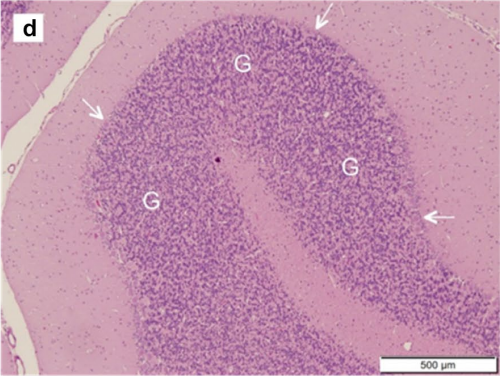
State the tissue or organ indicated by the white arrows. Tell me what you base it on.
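The arrows point to the outer border of the dense purple band of small nuclei. Beyond this border lies a pale, sparsely cellular layer.
Conclusion: Purkinje cell layers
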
